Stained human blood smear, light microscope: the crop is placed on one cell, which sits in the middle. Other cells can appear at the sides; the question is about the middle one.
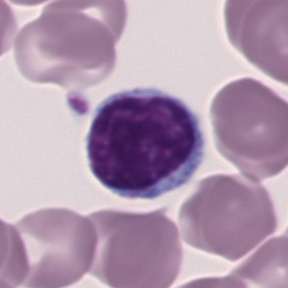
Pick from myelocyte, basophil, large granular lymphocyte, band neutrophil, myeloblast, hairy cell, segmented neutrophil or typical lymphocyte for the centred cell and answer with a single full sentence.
Where the crop is centred, there is a typical lymphocyte.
